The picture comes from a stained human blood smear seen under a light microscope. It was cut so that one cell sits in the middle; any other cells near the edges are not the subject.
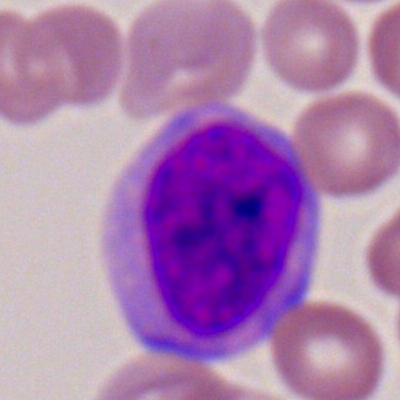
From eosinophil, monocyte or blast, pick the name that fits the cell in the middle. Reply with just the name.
blast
